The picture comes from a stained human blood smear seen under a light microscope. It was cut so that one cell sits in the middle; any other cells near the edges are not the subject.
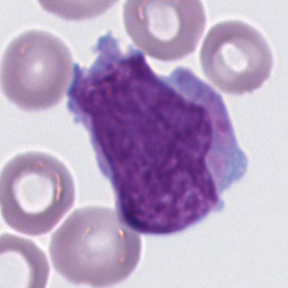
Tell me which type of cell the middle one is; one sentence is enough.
In this smear crop, the middle cell is an atypical promyelocyte.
